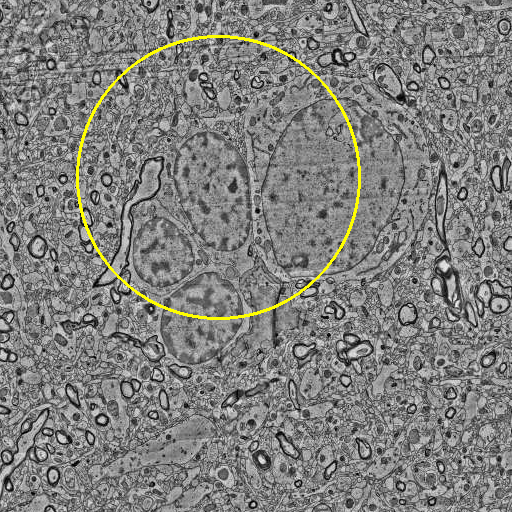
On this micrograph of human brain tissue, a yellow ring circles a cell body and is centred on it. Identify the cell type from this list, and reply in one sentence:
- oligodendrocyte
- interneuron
The cell at the centre is an oligodendrocyte.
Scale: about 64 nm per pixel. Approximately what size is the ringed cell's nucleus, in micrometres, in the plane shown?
In this plane the nucleus is roughly 8 by 5 micrometres, clearly longer than it is wide.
